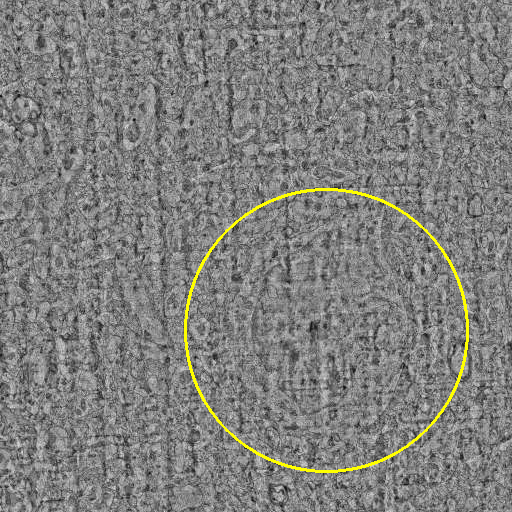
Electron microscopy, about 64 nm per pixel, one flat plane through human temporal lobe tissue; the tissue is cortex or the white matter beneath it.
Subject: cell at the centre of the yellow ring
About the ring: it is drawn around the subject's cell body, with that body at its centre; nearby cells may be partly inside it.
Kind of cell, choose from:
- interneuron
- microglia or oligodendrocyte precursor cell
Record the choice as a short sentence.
The subject cell is an interneuron.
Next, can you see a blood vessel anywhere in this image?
No, a blood vessel is absent from this picture.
